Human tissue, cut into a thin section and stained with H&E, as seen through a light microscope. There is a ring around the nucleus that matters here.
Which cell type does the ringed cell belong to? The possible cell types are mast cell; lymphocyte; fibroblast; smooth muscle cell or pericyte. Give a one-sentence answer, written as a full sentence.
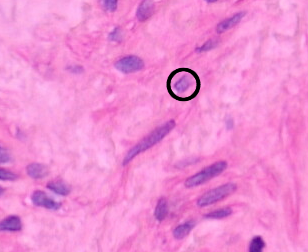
As for its identity, the ringed cell is a smooth muscle cell or pericyte.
